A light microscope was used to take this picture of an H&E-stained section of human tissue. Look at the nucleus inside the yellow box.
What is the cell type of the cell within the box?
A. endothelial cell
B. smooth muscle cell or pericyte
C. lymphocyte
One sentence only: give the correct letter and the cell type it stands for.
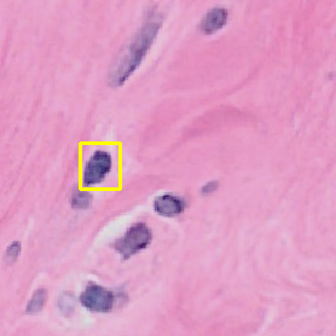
It is as option C has it, the cell within the box being a lymphocyte.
